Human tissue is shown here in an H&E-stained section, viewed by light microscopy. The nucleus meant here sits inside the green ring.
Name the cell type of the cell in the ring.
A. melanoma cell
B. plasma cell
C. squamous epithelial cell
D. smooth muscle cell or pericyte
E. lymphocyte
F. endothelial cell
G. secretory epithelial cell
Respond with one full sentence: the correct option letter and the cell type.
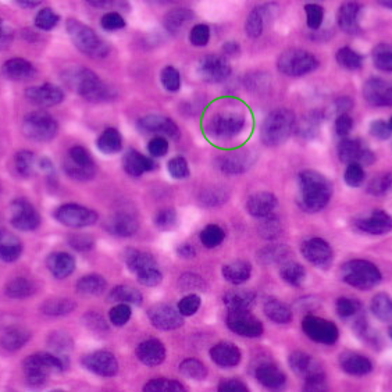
Option C wins here: the cell in the ring is a squamous epithelial cell.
